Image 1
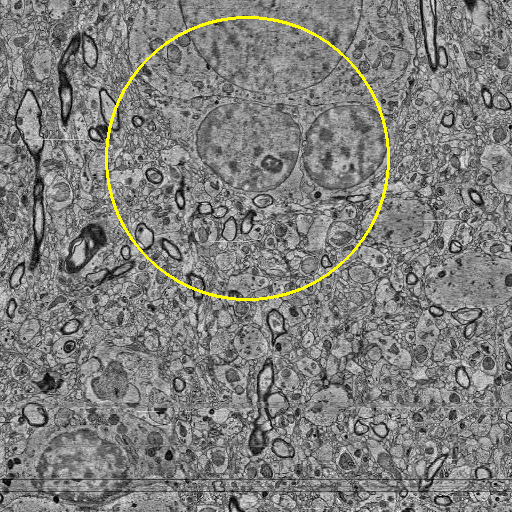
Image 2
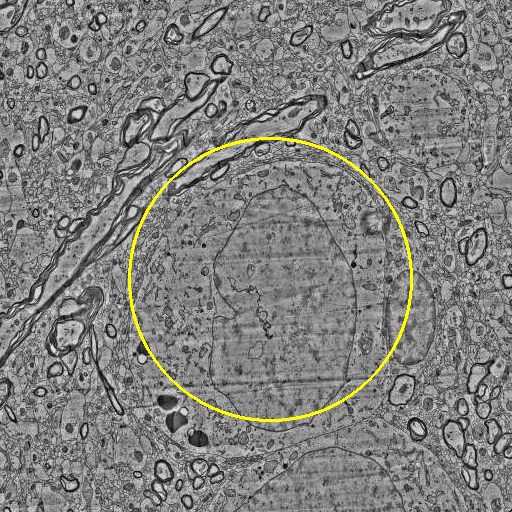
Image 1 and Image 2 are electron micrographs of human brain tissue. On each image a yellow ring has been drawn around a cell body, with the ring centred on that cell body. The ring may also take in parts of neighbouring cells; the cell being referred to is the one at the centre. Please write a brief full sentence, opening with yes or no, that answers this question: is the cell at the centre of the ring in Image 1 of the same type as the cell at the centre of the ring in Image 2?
No, the two cells are of two types.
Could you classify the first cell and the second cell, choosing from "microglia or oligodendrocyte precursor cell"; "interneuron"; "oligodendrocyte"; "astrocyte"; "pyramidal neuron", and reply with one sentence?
The second cell is a pyramidal neuron, while the first is an oligodendrocyte.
